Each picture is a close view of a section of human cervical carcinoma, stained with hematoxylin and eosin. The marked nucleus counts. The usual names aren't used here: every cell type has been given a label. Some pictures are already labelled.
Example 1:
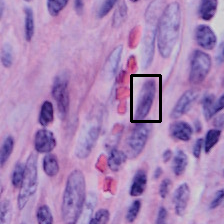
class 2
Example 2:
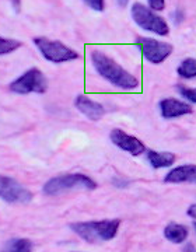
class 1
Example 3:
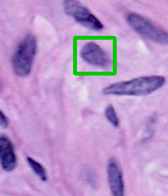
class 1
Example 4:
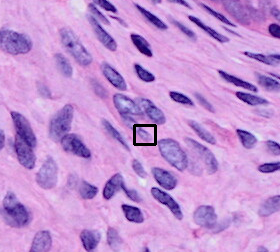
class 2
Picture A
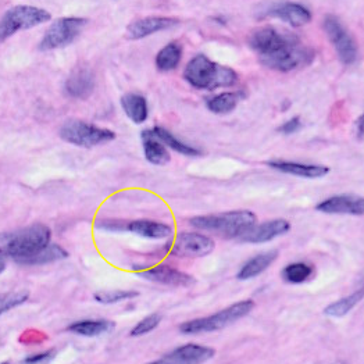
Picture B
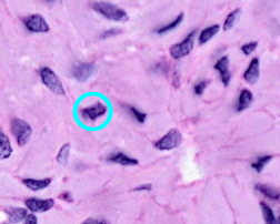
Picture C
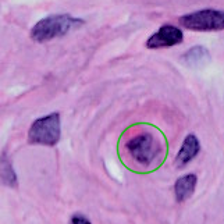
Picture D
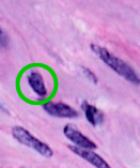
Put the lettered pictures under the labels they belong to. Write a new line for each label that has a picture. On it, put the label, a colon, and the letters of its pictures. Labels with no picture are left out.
class 2: A, C
class 1: B, D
